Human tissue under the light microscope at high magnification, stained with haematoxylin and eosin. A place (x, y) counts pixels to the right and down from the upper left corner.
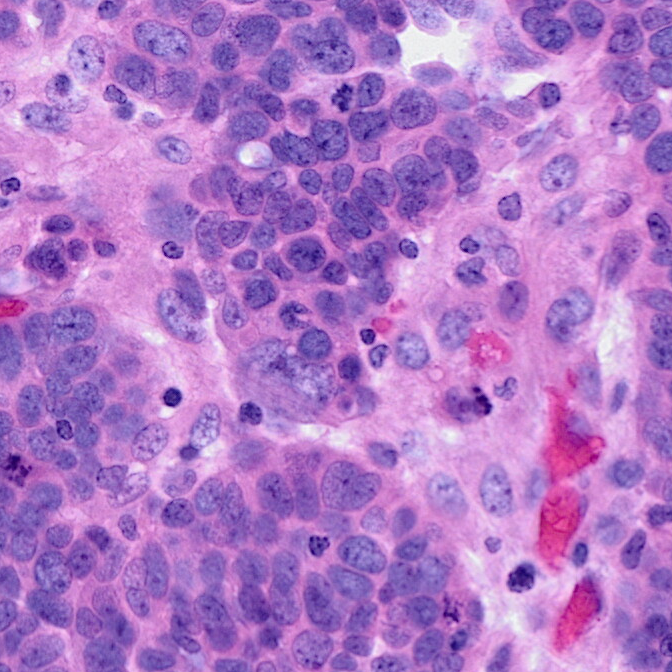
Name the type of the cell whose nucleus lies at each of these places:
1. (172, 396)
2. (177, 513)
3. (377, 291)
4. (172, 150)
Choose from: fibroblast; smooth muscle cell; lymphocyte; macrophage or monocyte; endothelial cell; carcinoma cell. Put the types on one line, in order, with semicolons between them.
lymphocyte; carcinoma cell; carcinoma cell; fibroblast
